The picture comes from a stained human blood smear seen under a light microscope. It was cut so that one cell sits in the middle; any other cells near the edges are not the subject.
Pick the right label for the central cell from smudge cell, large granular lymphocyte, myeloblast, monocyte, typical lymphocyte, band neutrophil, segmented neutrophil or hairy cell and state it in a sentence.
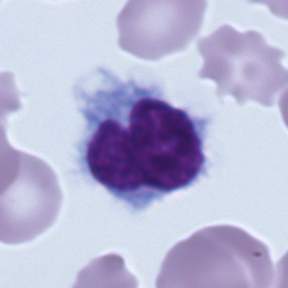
Centred in the crop is a hairy cell.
